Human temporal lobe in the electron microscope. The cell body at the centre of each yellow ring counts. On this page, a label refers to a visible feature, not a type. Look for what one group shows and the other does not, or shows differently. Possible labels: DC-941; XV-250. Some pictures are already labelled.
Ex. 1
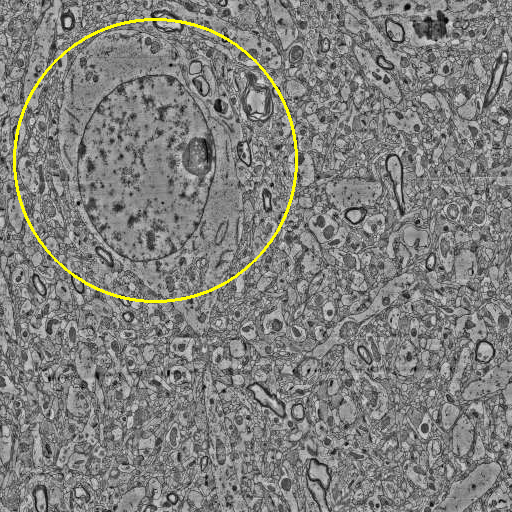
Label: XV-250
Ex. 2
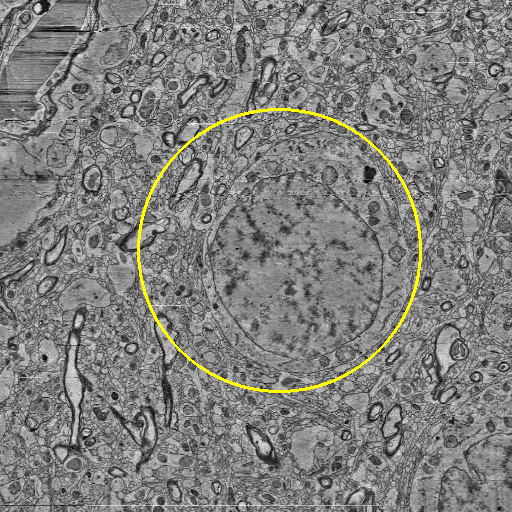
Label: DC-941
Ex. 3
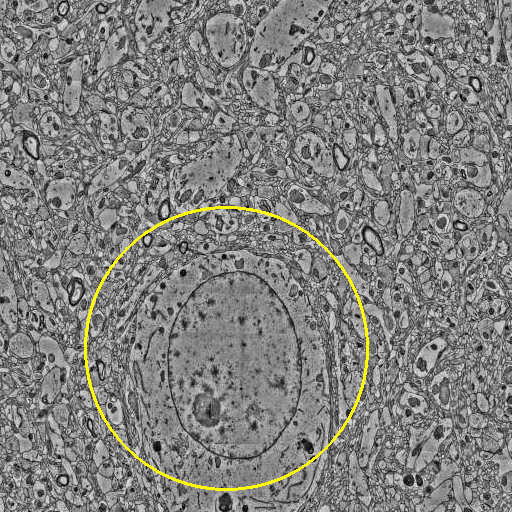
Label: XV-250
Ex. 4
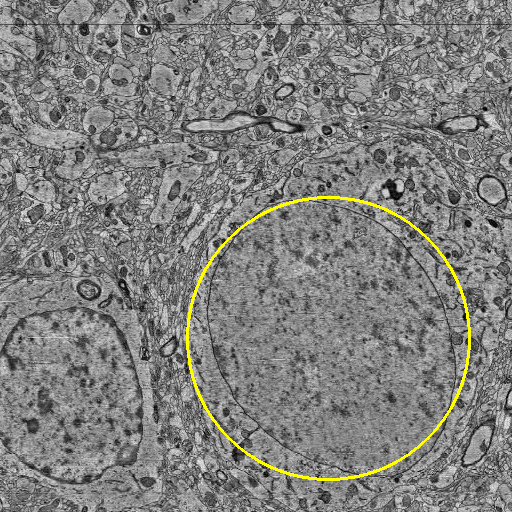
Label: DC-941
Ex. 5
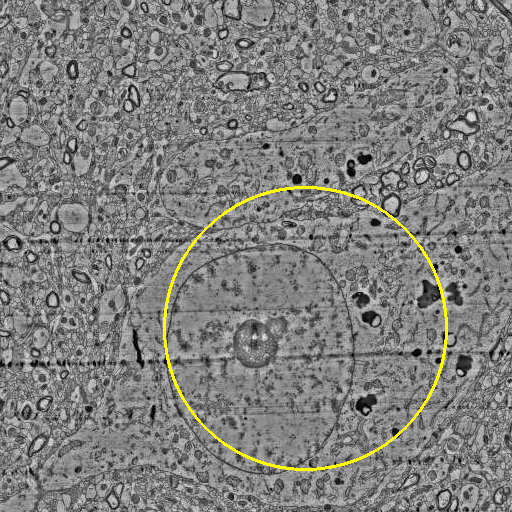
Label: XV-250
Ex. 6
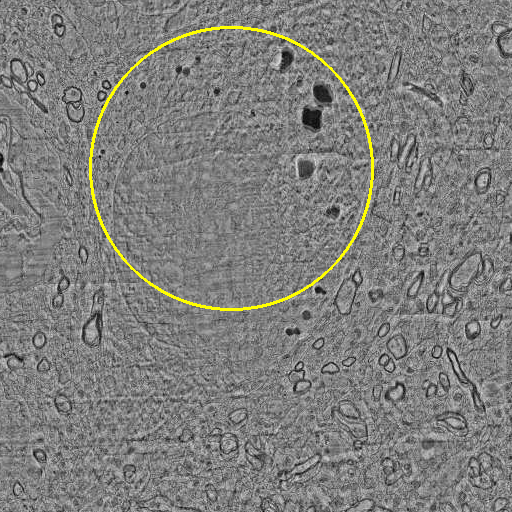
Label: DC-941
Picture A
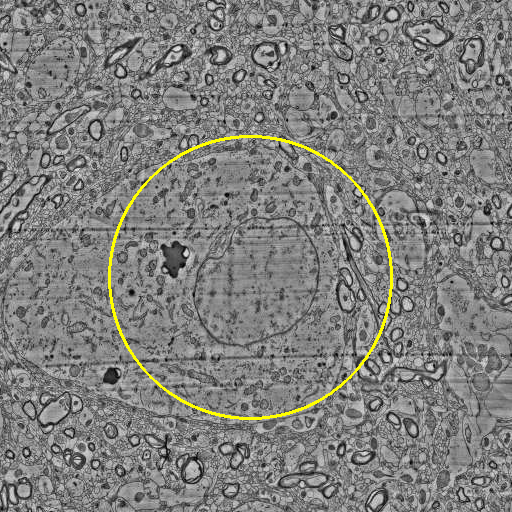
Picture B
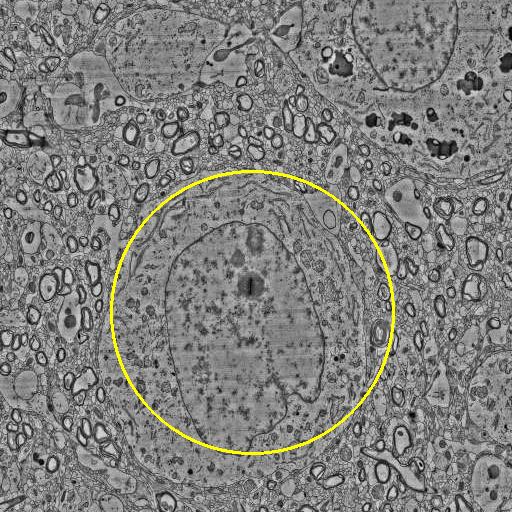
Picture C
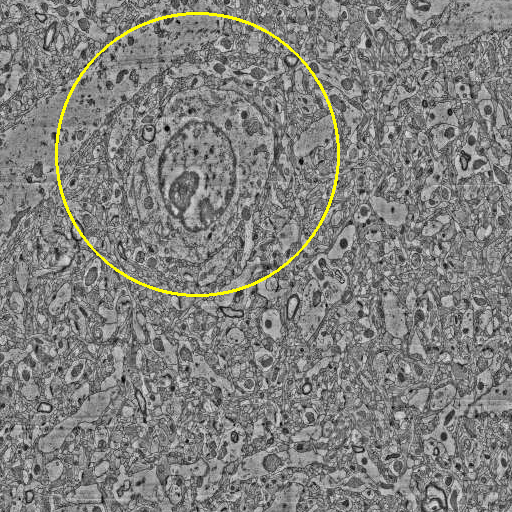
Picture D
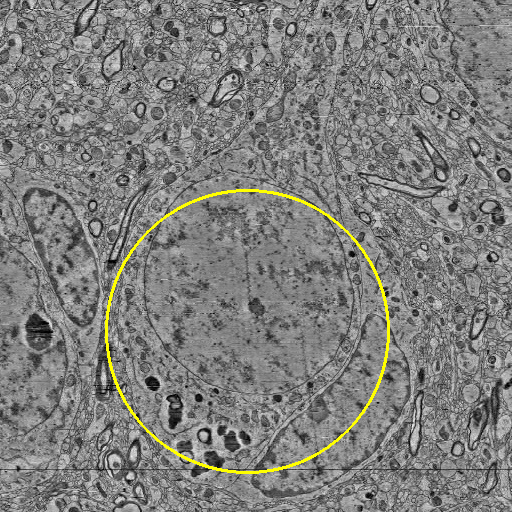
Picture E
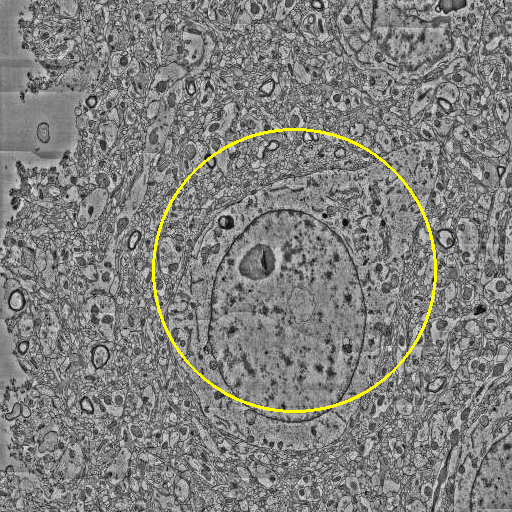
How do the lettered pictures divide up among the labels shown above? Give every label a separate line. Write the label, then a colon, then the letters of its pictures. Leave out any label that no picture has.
DC-941: A
XV-250: B, C, D, E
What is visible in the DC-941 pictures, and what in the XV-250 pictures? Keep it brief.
DC-941, no nucleolus seen; XV-250, nucleolus seen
